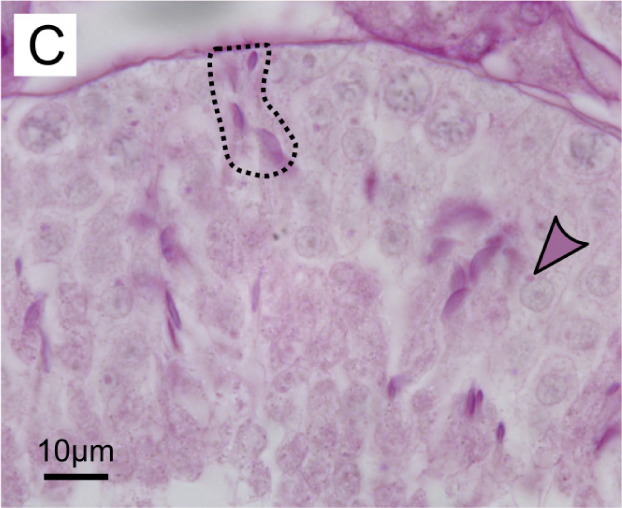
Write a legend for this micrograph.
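This is seminiferous epithelium at high magnification, filled with large round cells with pale, finely granular nuclei. Elongated, dark purple, spindle-shaped spermatid heads lie scattered among them, and a cluster of them sits close to the tubule's outer boundary at the top instead of toward the lumen.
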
